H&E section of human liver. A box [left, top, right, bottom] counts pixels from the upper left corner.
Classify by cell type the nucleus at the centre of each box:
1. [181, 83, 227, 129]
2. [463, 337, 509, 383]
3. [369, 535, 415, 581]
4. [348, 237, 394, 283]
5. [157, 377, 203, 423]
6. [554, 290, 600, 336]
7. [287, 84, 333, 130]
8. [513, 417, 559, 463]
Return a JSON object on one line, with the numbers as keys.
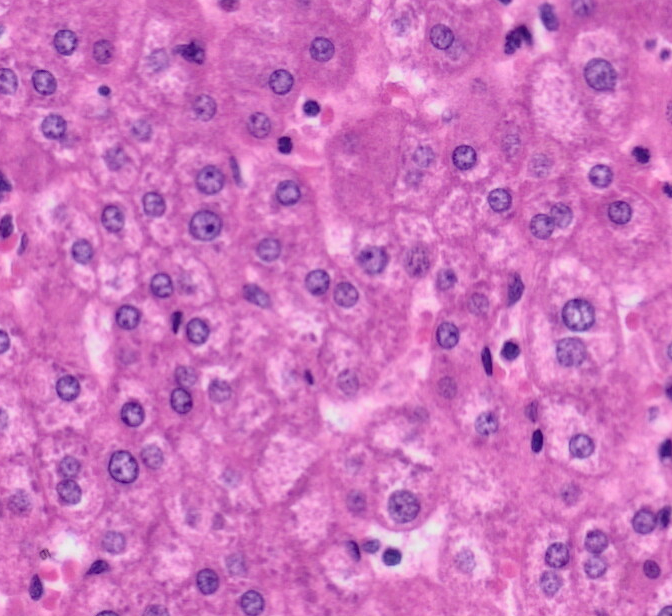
{"1": "hepatocyte", "2": "fibroblast or stellate cell", "3": "lymphocyte", "4": "hepatocyte", "5": "hepatocyte", "6": "hepatocyte", "7": "lymphocyte", "8": "fibroblast or stellate cell"}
